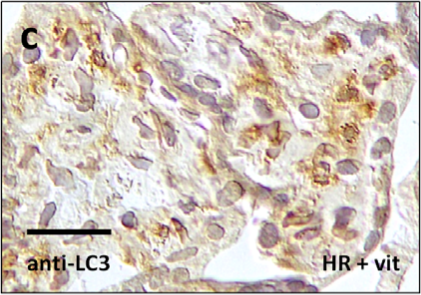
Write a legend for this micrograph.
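This section shows placental villi, each covered by a trophoblast layer and filled with a loose stromal core. Oval grey-blue nuclei are scattered through the core. The stroma between the cells is pale and loosely arranged.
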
